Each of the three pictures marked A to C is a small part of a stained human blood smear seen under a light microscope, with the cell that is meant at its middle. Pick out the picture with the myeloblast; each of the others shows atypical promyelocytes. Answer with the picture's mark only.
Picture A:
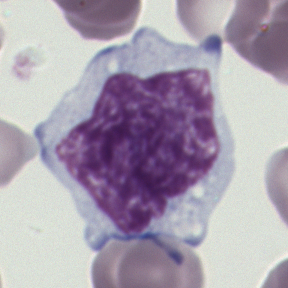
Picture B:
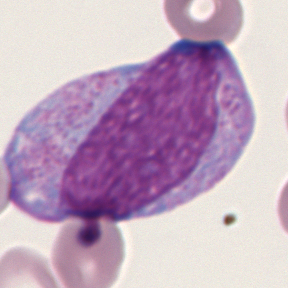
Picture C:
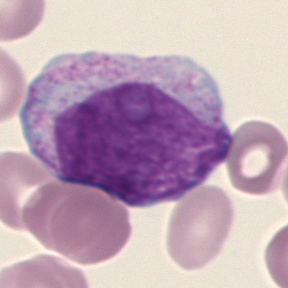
A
